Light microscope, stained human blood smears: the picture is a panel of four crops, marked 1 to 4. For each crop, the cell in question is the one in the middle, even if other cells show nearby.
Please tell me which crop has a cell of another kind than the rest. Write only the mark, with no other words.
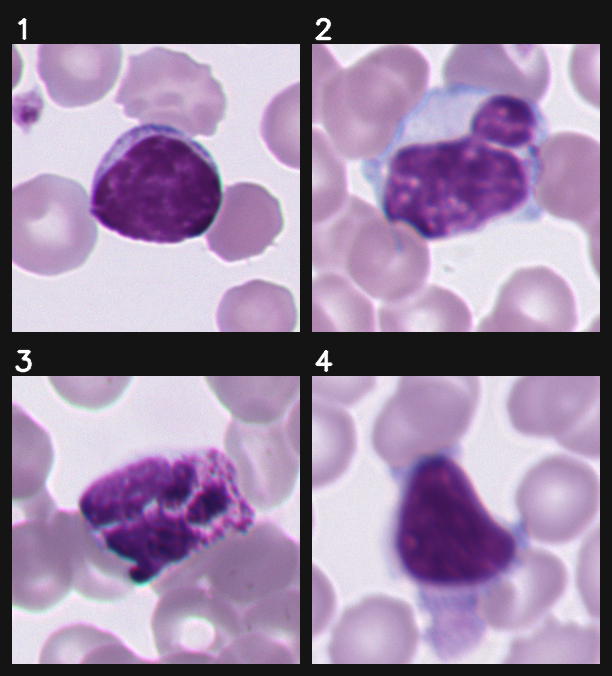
3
